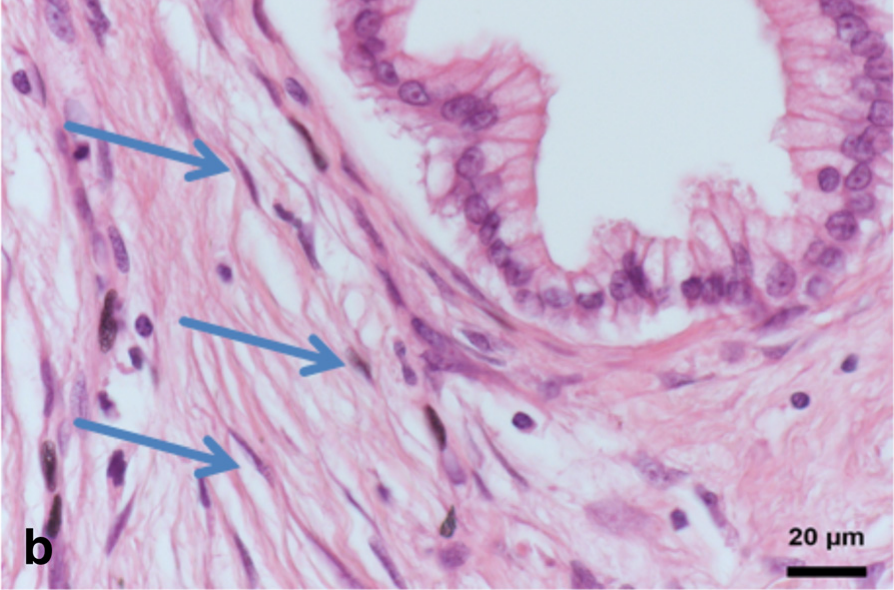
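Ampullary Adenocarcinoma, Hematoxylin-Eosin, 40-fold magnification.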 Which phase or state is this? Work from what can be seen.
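Mature tumor stroma. Stromal cells are thin with small, dark, slender nuclei. Cells and pink fibres run wavy and roughly parallel beside a gland.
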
